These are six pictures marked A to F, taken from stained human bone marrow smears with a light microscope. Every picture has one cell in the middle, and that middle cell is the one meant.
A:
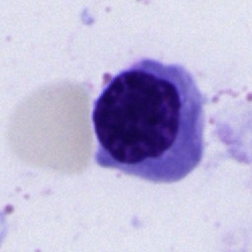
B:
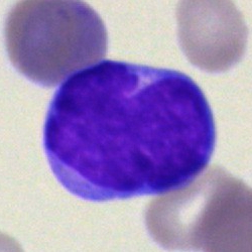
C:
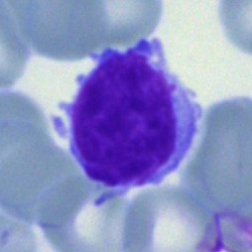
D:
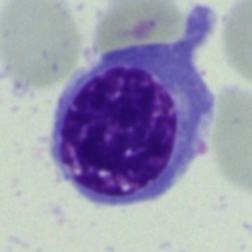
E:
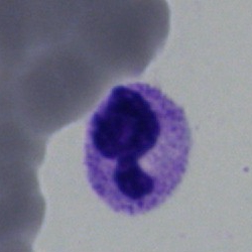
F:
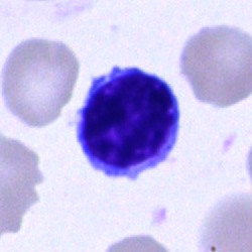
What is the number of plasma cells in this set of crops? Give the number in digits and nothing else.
0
